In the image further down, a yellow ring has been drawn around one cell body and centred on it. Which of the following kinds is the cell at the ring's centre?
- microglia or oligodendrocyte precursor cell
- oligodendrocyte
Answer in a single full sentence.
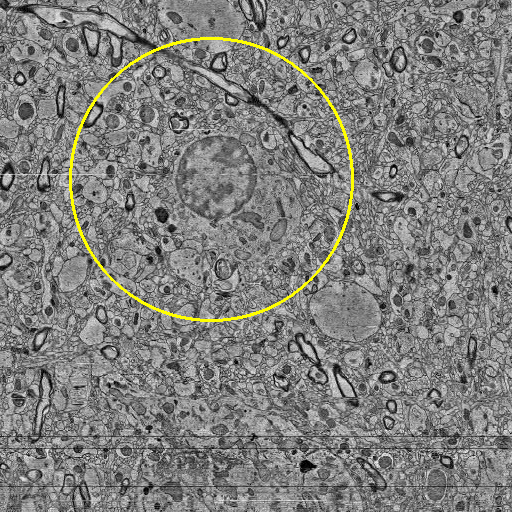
In the picture, the cell sitting at the centre of the yellow ring is an oligodendrocyte.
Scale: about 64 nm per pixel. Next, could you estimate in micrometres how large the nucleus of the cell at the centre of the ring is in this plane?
The ringed cell's nucleus measures approximately 6 by 5 micrometres in this plane.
